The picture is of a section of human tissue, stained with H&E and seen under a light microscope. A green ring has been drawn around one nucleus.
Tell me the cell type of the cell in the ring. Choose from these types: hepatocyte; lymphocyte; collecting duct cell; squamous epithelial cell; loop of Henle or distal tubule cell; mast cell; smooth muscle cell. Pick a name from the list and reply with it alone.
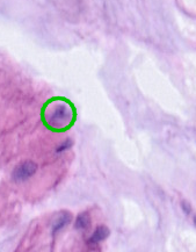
smooth muscle cell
